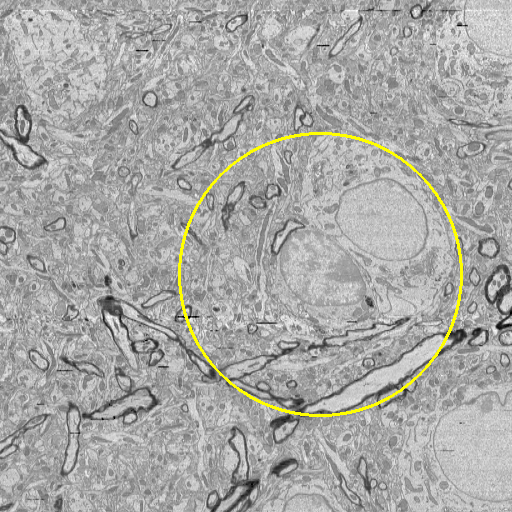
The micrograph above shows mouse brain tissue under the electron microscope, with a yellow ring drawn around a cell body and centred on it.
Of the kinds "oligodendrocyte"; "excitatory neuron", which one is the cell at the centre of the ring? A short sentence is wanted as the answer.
The one at the centre of the ring is an oligodendrocyte.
